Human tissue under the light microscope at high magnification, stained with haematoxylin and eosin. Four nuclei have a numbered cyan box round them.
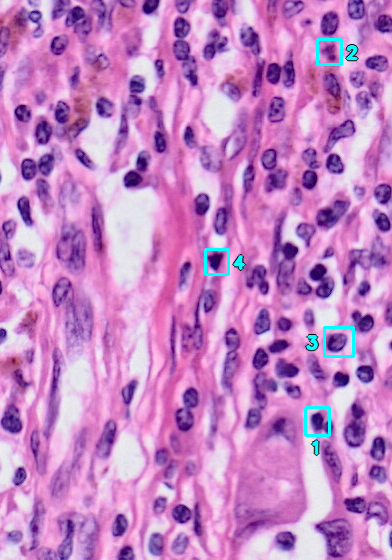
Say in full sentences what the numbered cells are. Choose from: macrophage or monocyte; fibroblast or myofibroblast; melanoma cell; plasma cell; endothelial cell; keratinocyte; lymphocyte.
Cells 1, 3 and 4 are lymphocytes. Cell 2 is a macrophage or monocyte.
